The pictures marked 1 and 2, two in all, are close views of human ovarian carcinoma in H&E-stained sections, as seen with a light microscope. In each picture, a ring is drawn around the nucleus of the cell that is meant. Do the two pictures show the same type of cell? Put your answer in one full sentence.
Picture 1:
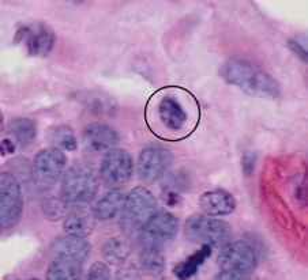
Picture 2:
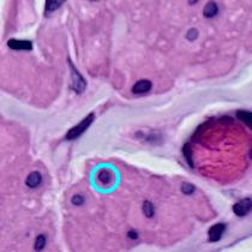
No, picture 1 shows a lymphocyte and picture 2 shows a smooth muscle cell.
